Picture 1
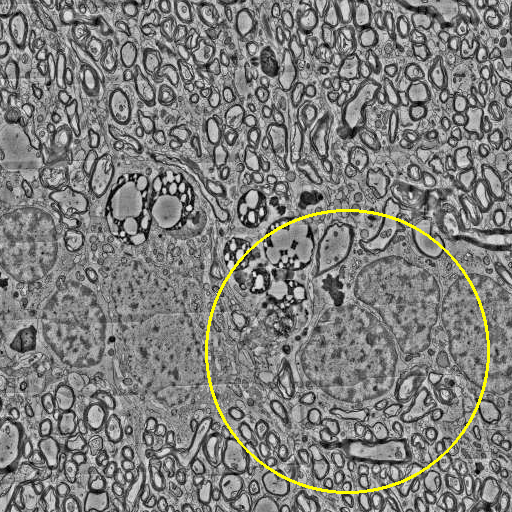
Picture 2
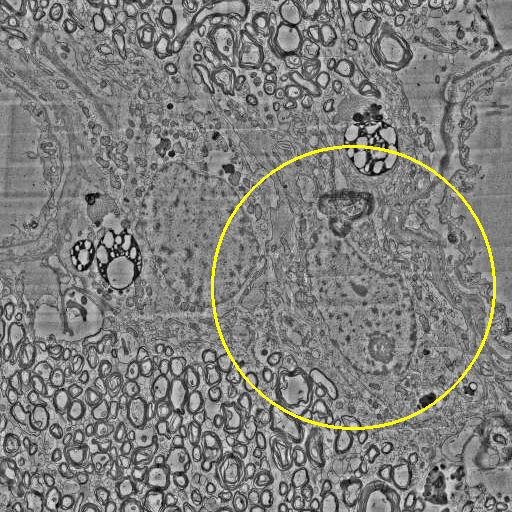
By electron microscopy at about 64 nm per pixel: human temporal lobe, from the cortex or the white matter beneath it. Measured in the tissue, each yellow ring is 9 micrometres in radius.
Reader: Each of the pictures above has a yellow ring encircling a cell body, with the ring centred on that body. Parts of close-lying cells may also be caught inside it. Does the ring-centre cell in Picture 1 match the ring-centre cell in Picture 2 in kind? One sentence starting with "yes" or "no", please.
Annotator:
No, Picture 1 and Picture 2 show ring-centre cells of two kinds.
